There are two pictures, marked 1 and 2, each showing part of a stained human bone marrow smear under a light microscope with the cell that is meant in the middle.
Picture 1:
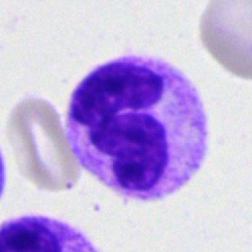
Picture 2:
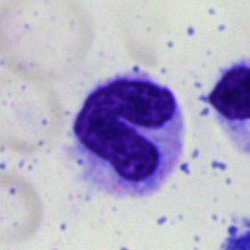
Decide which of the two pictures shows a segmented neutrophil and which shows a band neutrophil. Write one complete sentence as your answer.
Picture 2 shows a band neutrophil, while picture 1 shows a segmented neutrophil.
